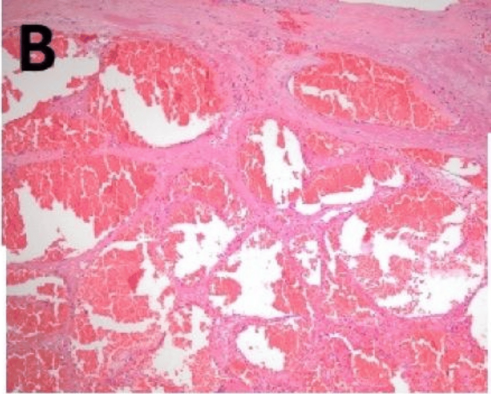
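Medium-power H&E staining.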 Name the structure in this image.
irregular vascular spaces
